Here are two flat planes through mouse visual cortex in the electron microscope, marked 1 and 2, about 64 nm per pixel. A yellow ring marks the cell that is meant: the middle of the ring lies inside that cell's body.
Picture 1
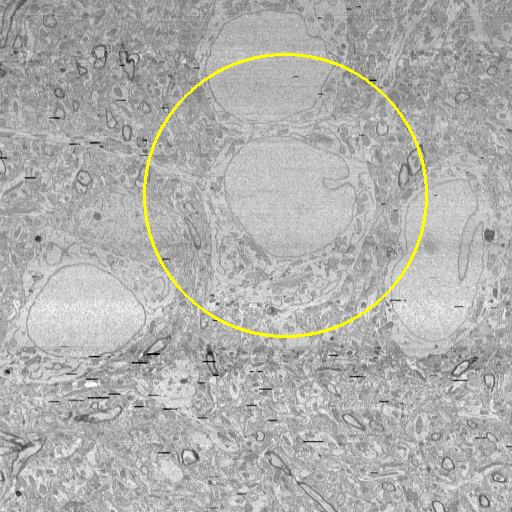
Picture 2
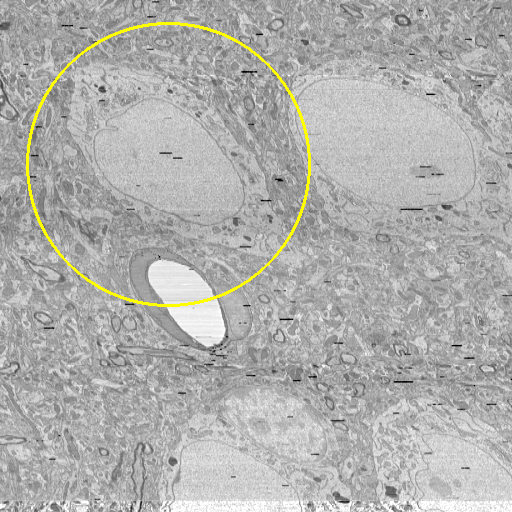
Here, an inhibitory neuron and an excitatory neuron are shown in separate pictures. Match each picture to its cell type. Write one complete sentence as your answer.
In picture 1 the cell is an inhibitory neuron; in picture 2, an excitatory neuron.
